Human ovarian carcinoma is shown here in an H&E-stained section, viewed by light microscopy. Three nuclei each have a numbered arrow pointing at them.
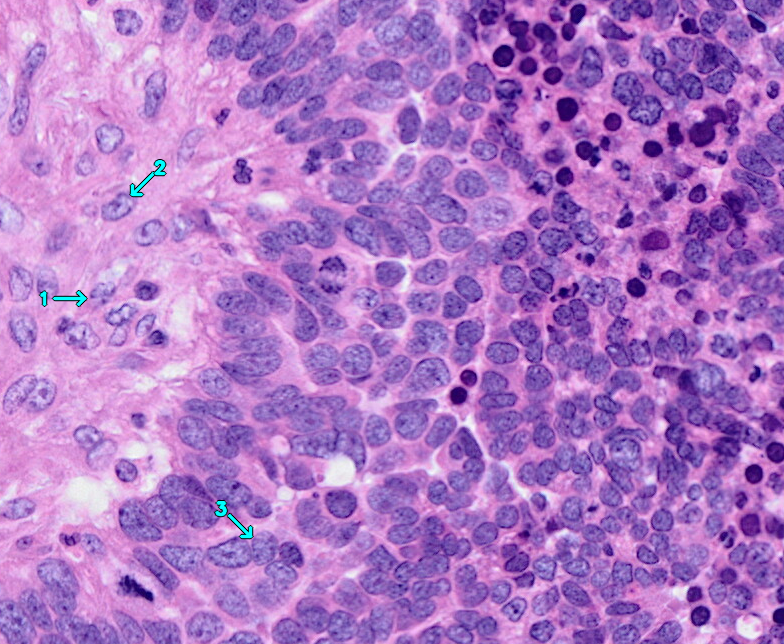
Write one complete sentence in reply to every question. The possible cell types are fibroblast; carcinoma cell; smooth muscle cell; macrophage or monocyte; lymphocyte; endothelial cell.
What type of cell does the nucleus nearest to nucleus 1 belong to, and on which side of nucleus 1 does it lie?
The closest nucleus belongs to a fibroblast and sits below and to the right of nucleus 1.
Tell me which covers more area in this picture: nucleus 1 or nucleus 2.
Number 2 is larger; its area is about 1.5 times that of number 1.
